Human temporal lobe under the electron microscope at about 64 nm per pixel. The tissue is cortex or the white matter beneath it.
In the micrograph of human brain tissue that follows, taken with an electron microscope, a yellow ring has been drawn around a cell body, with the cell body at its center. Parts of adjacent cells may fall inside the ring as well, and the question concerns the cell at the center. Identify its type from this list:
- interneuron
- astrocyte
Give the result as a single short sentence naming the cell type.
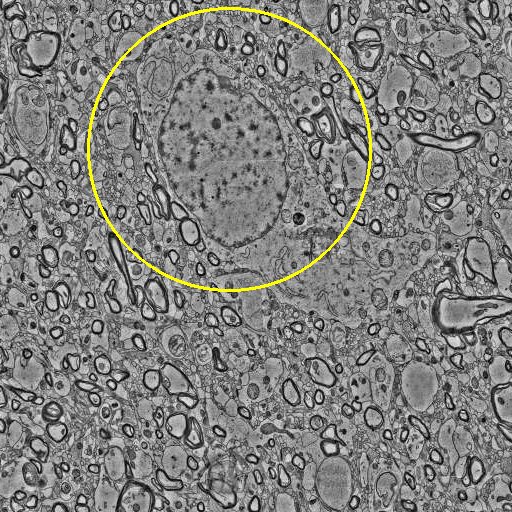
The ring is centered on an interneuron.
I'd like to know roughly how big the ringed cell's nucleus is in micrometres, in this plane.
In this plane the nucleus is about 11 micrometres by 8.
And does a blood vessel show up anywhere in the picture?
No, no vessel shows anywhere in the image.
